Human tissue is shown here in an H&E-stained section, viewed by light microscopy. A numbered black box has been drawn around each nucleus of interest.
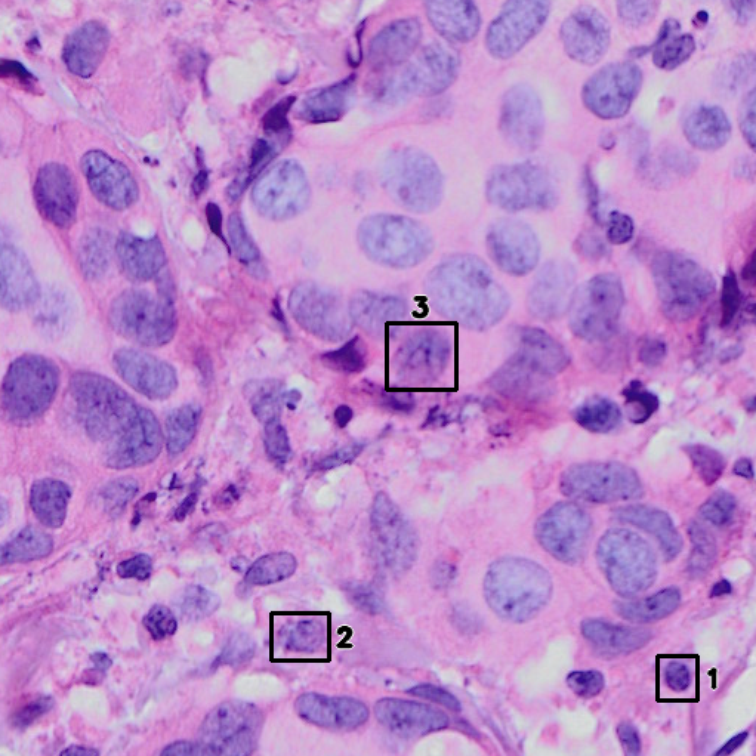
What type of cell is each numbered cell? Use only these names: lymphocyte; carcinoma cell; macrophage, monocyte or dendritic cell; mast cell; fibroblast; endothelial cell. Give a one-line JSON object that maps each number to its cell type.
{"1": "lymphocyte", "2": "macrophage, monocyte or dendritic cell", "3": "carcinoma cell"}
